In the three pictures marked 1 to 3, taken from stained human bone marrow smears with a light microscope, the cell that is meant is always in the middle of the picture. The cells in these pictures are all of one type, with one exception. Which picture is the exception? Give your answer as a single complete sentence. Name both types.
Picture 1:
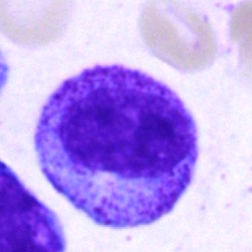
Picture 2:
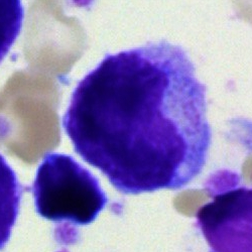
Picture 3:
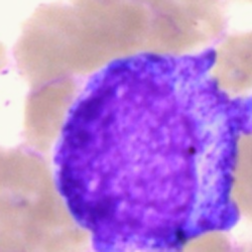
The different one is picture 3; it shows a promyelocyte, whereas all the others show myelocytes.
